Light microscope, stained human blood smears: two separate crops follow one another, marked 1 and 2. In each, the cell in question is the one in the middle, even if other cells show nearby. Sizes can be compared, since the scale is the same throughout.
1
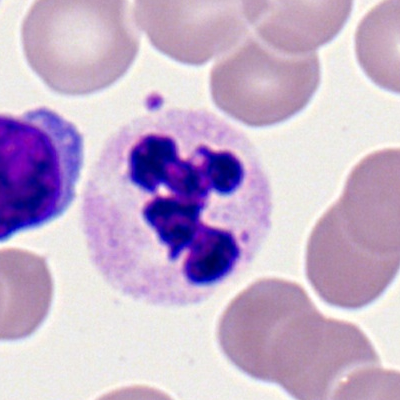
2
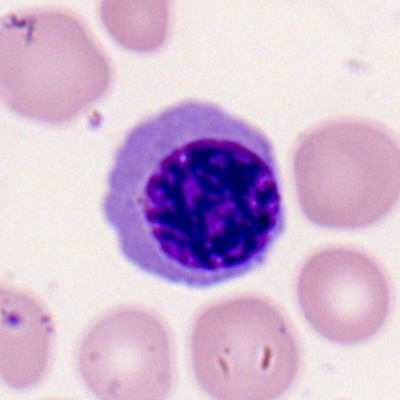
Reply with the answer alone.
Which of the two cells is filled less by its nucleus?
1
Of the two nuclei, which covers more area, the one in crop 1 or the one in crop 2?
2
